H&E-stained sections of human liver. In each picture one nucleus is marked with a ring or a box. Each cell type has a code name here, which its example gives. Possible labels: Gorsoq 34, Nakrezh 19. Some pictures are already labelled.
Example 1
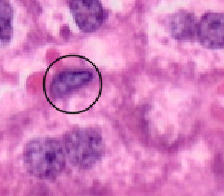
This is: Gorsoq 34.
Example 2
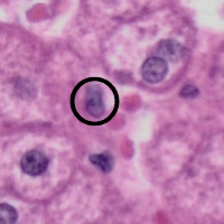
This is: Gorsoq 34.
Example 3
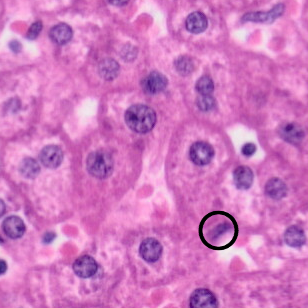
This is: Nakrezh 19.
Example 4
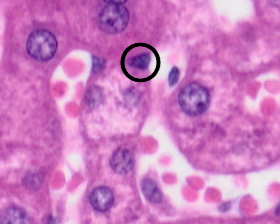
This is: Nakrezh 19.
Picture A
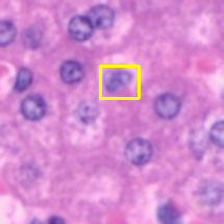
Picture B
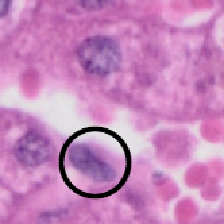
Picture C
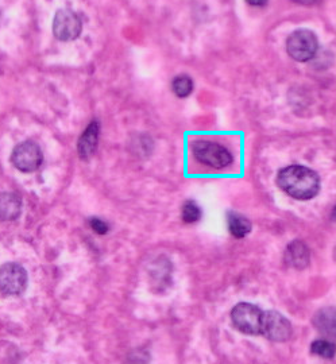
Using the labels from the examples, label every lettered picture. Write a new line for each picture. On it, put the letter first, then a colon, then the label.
A: Gorsoq 34.
B: Gorsoq 34.
C: Gorsoq 34.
